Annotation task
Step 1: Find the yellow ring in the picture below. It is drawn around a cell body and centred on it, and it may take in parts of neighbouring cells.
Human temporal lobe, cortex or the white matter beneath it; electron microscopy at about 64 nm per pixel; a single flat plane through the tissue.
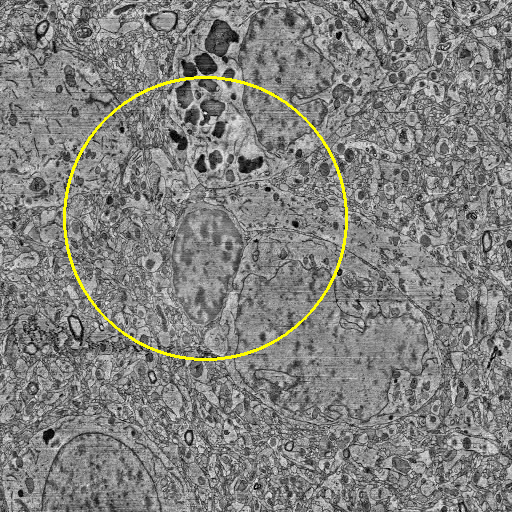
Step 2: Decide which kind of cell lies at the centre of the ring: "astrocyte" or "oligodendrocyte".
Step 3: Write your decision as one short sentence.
The kind of cell at the ring's centre is an oligodendrocyte.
